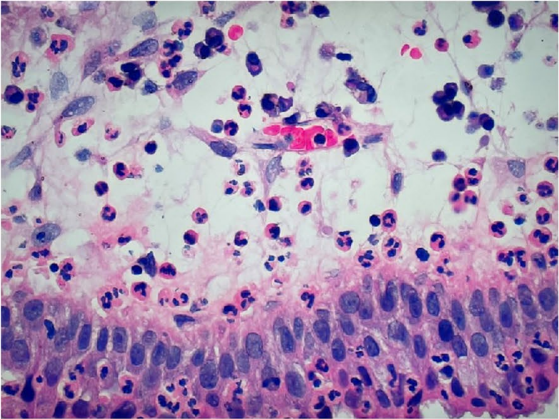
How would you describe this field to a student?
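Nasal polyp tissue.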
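Inflammatory cells with dark, segmented, multilobed nuclei are scattered through the loose, pale stroma. These cells also cross the epithelium between the oval, pale-blue epithelial nuclei. A small vessel filled with red blood cells lies in the stroma, together with larger spindle-shaped and oval stromal cells.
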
